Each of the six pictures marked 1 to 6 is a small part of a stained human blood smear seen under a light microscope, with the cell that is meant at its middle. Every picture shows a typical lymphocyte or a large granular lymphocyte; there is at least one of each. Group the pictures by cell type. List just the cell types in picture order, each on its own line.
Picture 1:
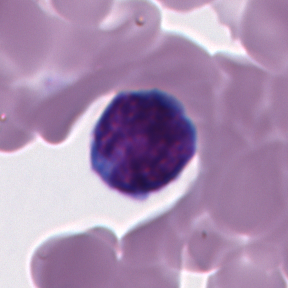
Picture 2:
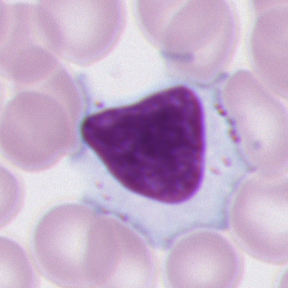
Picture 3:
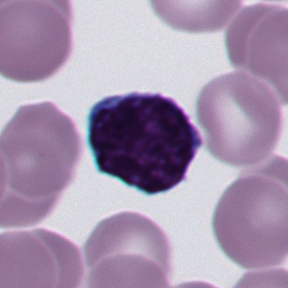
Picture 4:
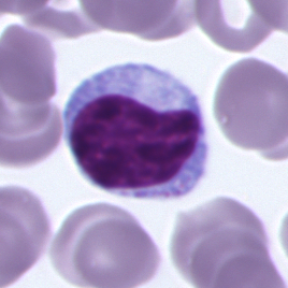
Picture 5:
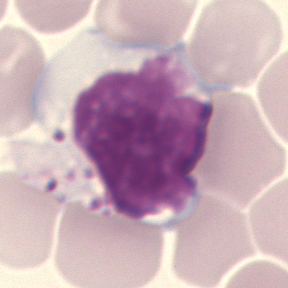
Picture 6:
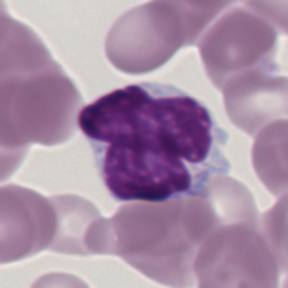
typical lymphocyte
large granular lymphocyte
typical lymphocyte
typical lymphocyte
large granular lymphocyte
large granular lymphocyte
